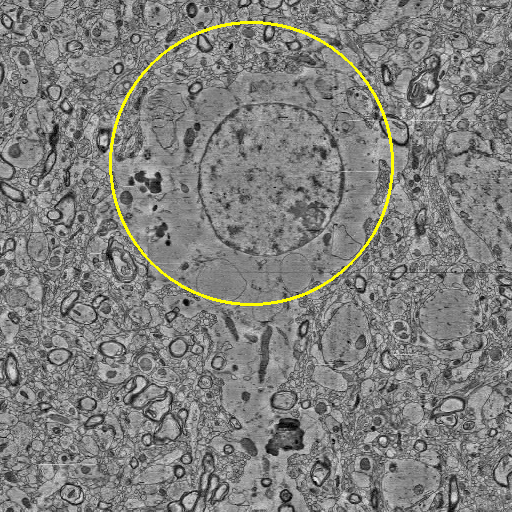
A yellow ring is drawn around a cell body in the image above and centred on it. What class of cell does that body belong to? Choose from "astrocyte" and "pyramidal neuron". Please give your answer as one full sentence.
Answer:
The yellow ring above is centred on the cell body of an astrocyte.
